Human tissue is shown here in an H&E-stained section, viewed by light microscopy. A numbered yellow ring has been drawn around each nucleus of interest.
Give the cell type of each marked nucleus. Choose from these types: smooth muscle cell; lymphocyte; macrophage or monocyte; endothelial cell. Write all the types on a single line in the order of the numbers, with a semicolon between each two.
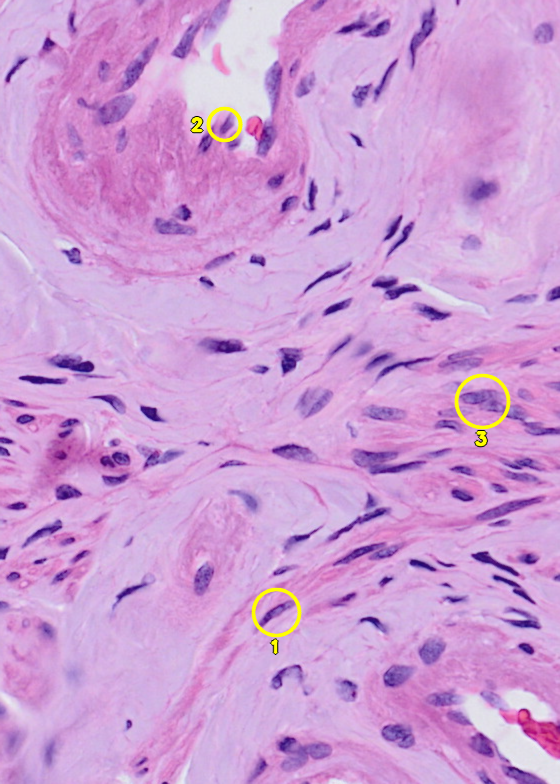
smooth muscle cell; endothelial cell; smooth muscle cell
